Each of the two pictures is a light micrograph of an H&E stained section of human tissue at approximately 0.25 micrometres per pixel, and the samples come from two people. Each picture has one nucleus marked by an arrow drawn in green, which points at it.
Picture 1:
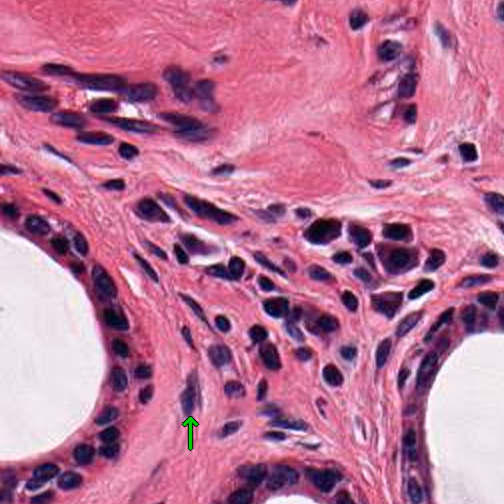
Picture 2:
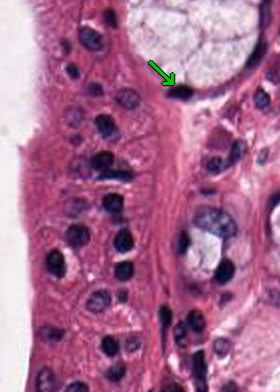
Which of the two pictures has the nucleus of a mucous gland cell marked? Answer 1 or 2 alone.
2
